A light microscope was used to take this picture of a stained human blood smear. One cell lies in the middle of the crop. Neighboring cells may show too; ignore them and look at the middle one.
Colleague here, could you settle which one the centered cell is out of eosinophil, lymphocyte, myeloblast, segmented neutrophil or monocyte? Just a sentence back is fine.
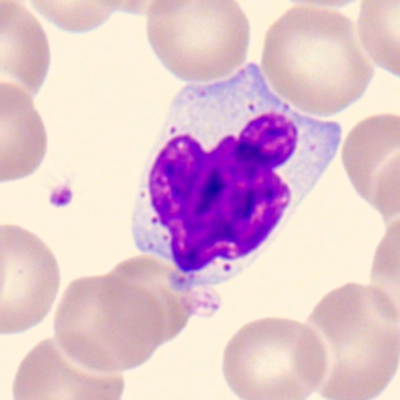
In the centre of this crop there is a lymphocyte.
